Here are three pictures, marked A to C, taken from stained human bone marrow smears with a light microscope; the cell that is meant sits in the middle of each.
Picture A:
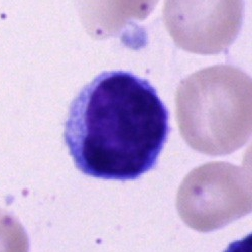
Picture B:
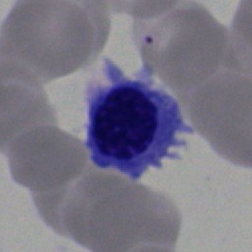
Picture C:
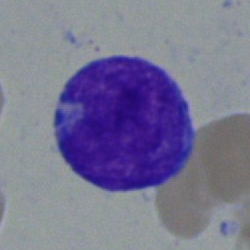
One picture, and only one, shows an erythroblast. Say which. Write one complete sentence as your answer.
Picture B shows the erythroblast.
